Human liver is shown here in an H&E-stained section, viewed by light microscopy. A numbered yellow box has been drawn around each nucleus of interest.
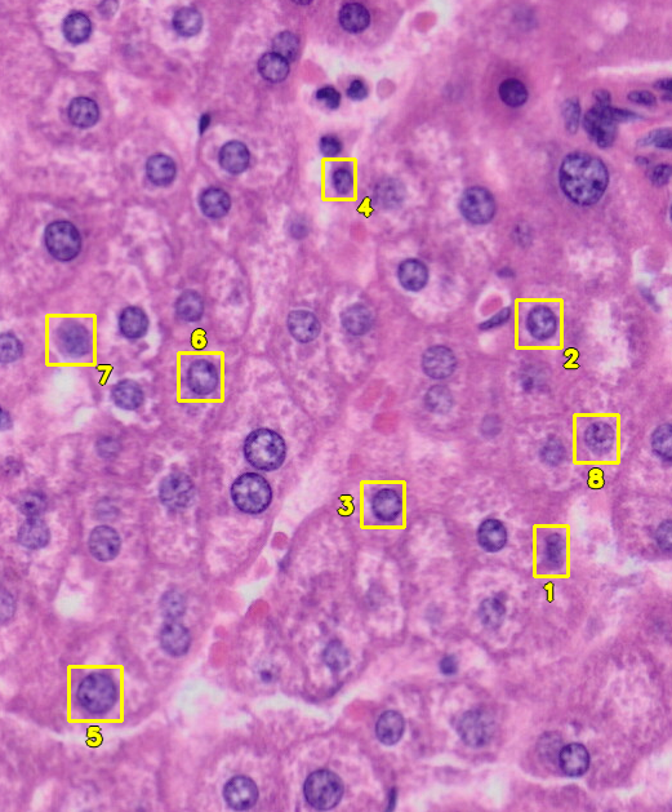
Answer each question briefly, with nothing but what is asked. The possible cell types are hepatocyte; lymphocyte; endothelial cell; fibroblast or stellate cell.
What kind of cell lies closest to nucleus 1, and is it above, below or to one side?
a hepatocyte, to the left of nucleus 1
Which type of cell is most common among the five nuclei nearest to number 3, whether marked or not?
hepatocyte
